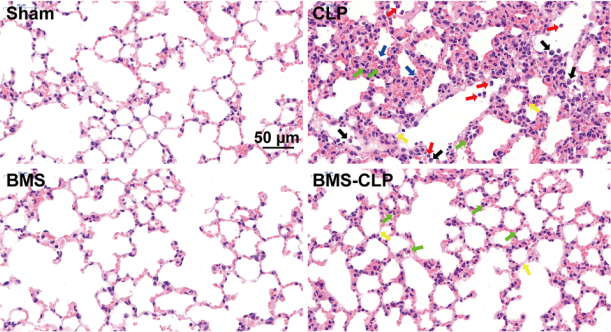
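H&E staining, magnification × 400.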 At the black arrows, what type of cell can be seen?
Alveolar macrophages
